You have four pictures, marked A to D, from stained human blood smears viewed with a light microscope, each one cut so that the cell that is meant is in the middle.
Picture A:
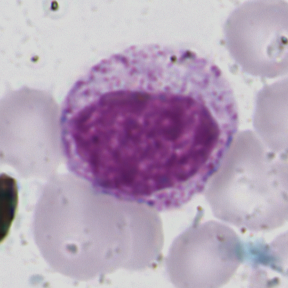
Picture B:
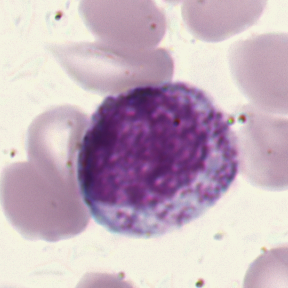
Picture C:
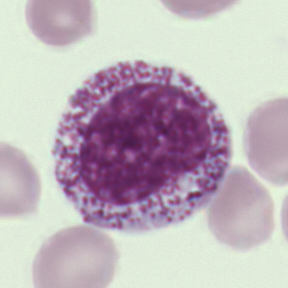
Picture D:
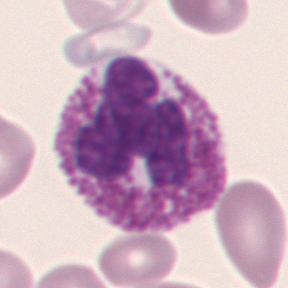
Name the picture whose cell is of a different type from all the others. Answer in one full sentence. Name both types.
The others show myelocytes, but picture D shows an eosinophil.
